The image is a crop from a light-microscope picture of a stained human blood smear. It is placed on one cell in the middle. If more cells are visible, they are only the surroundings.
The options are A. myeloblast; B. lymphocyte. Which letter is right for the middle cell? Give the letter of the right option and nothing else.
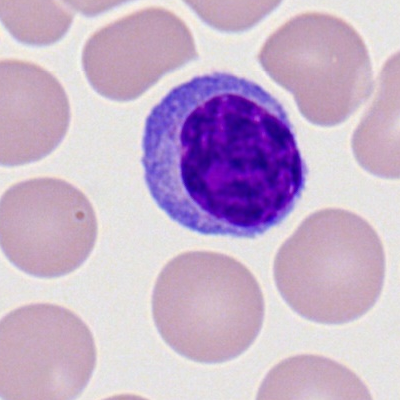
B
